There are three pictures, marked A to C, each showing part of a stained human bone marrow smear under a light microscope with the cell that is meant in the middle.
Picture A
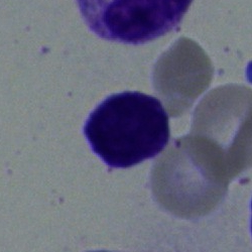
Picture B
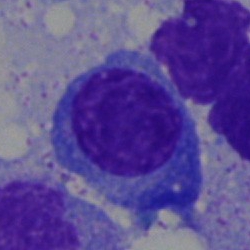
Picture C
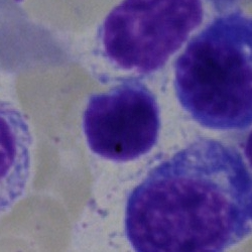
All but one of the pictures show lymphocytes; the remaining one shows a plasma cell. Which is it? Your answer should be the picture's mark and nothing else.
B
